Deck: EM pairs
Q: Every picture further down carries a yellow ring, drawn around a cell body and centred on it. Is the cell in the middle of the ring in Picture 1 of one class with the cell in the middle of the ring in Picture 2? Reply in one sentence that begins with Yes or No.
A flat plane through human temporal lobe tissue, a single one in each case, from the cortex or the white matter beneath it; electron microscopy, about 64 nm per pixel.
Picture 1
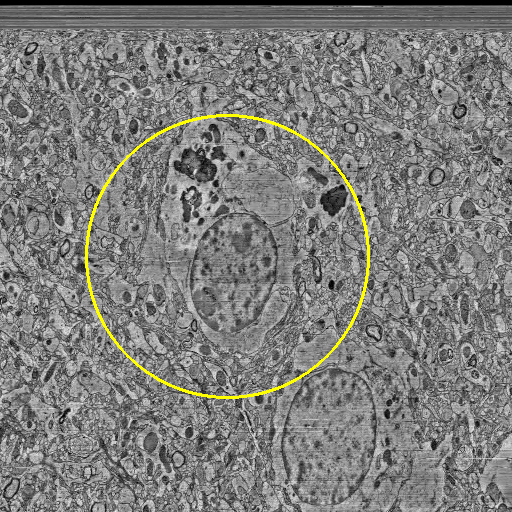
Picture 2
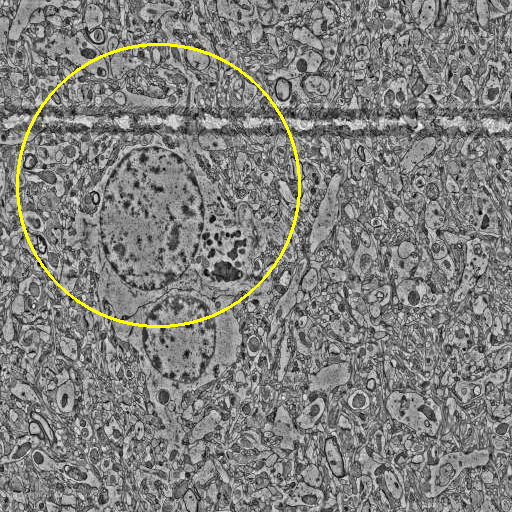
Yes, the cell centred in the ring of Picture 1 and the one in Picture 2 belong to one class.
